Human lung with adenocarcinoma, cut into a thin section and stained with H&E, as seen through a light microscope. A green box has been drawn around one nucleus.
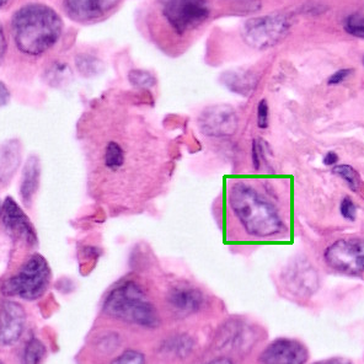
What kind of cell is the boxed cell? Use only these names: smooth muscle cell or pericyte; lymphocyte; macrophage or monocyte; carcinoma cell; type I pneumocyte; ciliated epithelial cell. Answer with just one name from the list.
carcinoma cell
